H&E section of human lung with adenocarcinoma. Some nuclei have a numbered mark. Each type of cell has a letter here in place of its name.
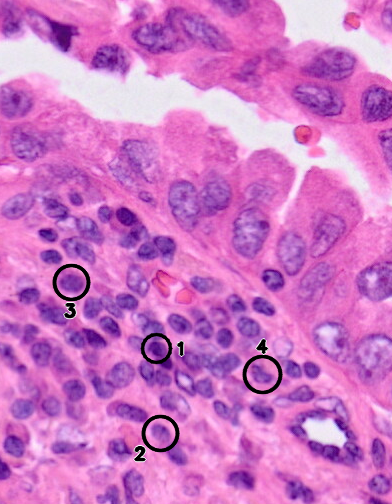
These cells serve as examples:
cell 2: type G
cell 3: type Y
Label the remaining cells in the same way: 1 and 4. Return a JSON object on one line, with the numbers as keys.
{"1": "type G", "4": "type G"}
